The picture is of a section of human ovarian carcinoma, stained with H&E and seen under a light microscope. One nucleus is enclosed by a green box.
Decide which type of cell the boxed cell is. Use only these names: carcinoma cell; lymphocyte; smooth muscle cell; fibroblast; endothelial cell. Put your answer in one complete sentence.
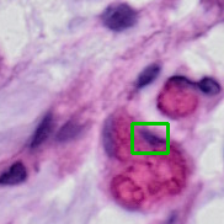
It is as an endothelial cell that the boxed cell is classified.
